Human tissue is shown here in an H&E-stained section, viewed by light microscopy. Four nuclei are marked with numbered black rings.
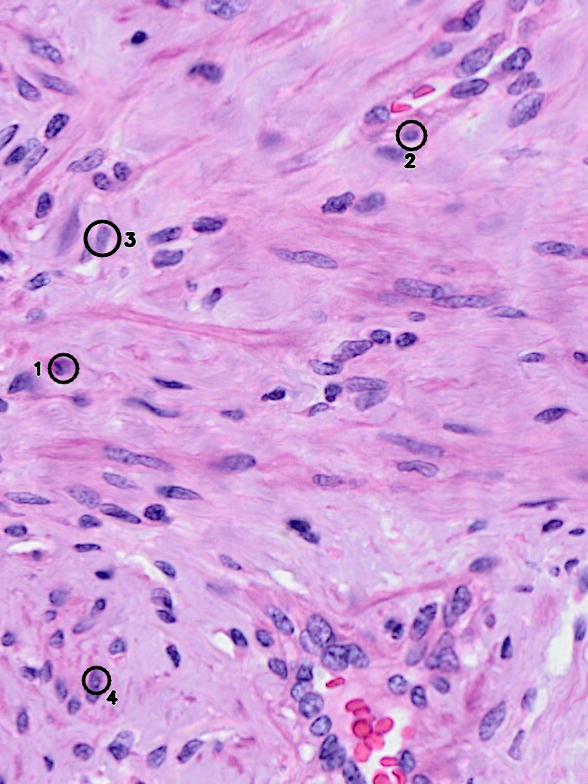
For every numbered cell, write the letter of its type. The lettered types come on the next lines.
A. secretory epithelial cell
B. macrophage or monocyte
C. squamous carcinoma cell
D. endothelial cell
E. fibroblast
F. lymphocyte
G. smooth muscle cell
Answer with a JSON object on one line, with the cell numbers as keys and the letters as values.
{"1": "G", "2": "D", "3": "E", "4": "G"}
